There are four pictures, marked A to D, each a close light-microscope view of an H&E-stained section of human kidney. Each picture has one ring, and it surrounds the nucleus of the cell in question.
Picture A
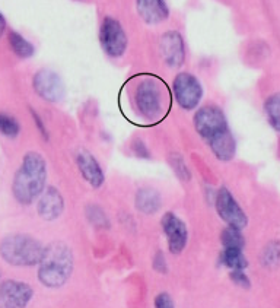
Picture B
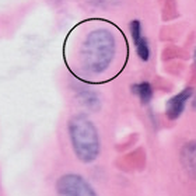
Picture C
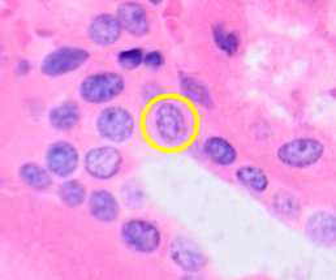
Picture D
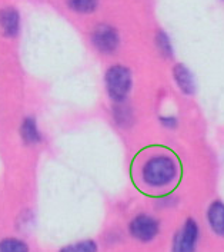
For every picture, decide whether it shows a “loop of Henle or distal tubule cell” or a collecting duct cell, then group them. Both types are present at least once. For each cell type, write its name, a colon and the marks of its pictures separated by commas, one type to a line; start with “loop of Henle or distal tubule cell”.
loop of Henle or distal tubule cell: A
collecting duct cell: B, C, D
